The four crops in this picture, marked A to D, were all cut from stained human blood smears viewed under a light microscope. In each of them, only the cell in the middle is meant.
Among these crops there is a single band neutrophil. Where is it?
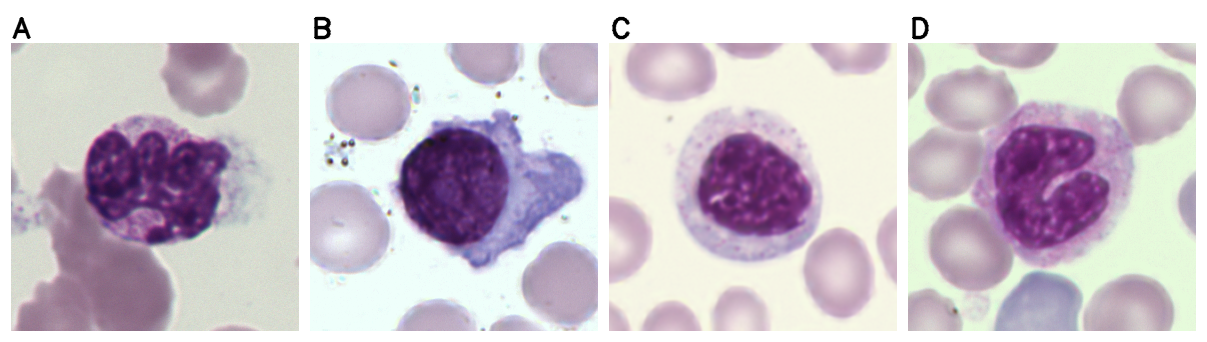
D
